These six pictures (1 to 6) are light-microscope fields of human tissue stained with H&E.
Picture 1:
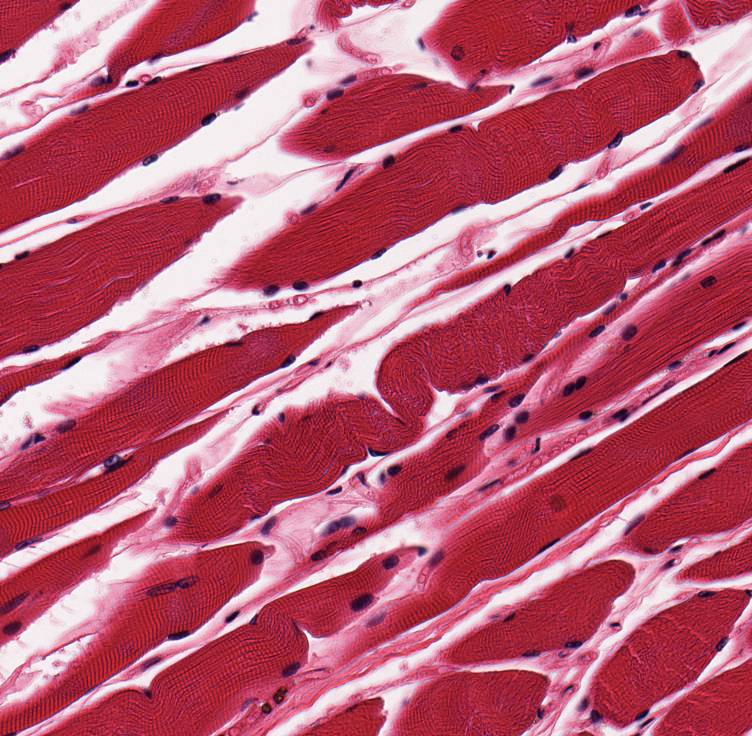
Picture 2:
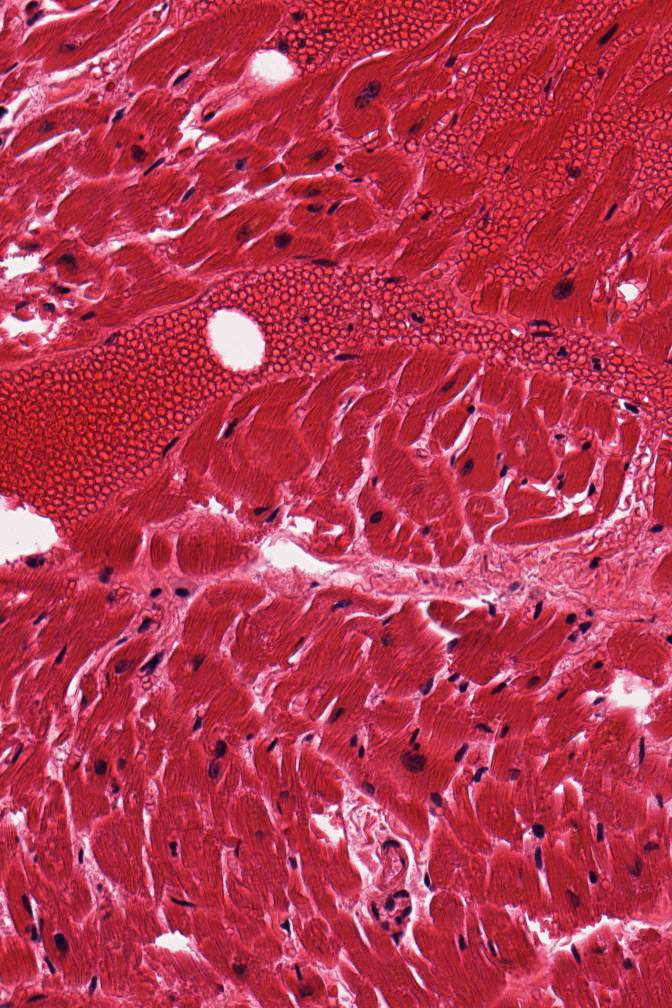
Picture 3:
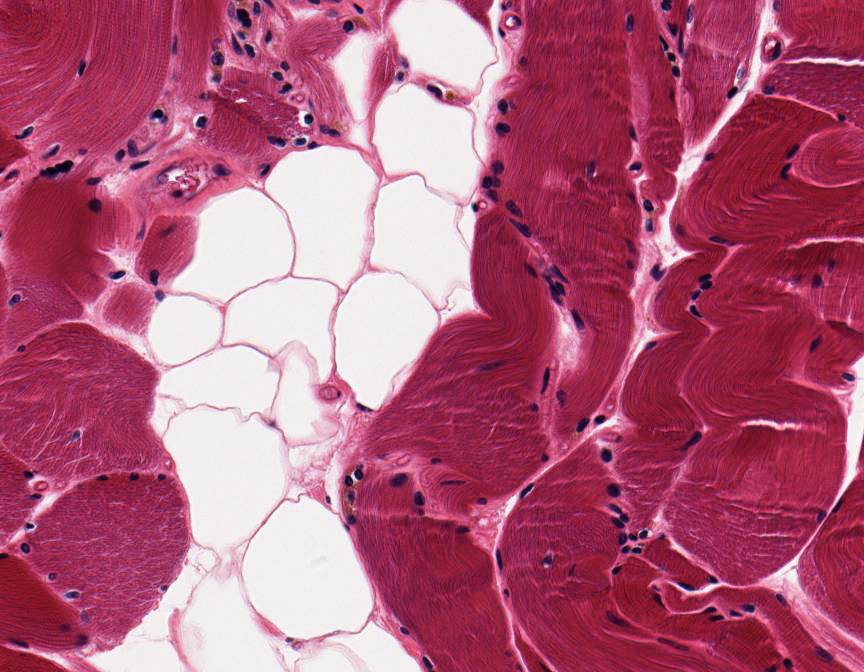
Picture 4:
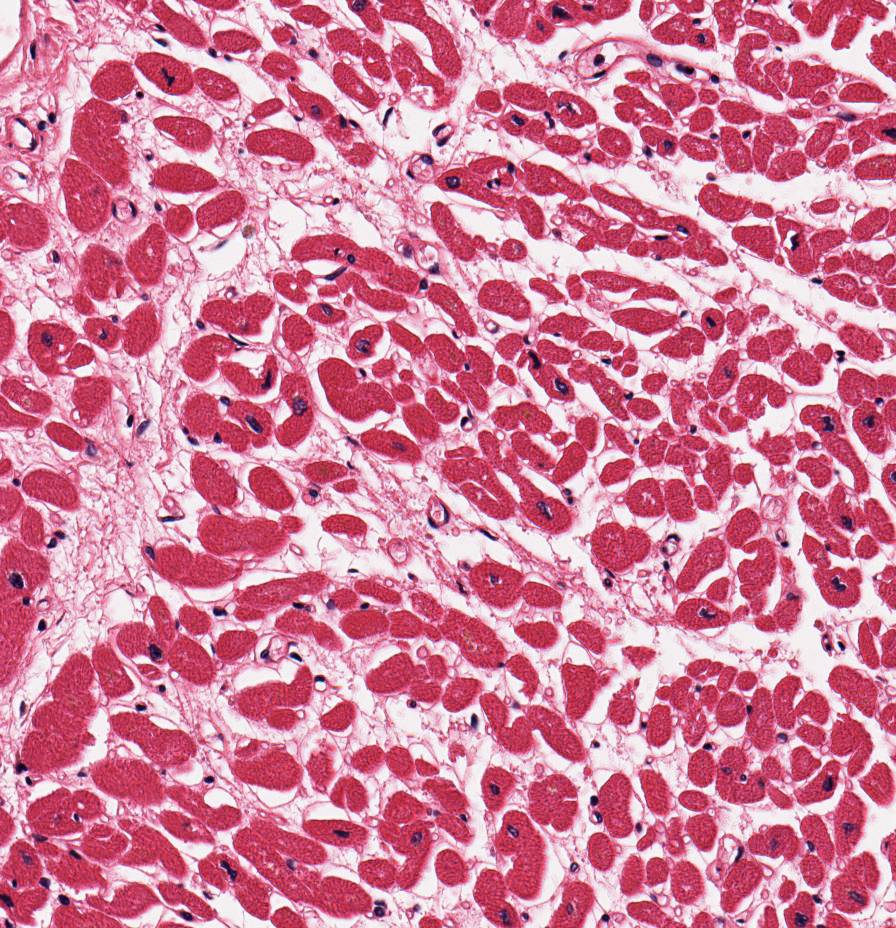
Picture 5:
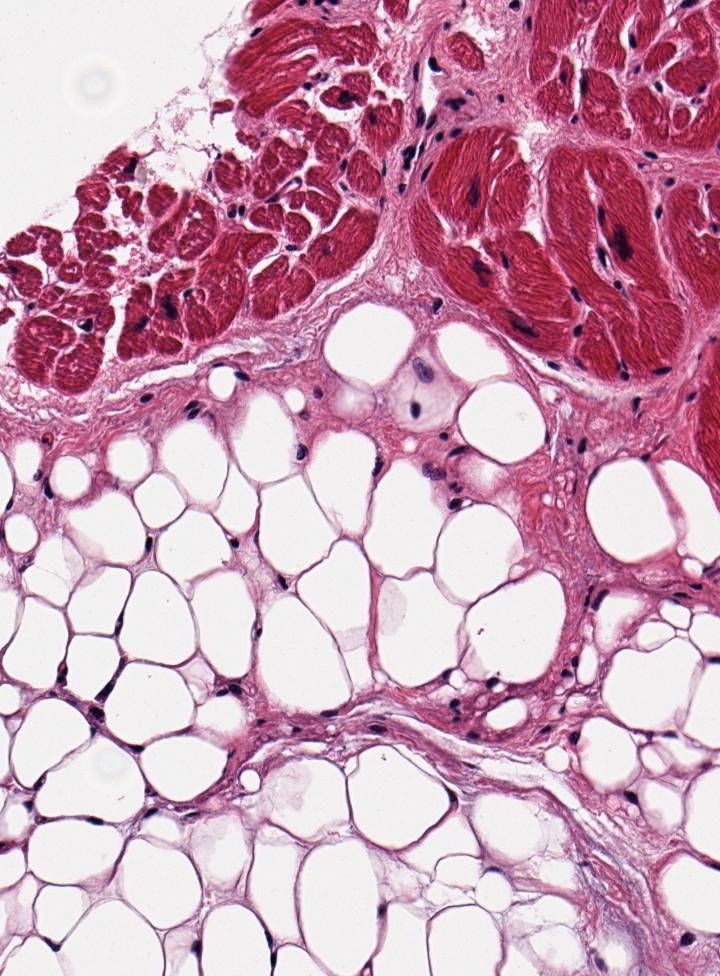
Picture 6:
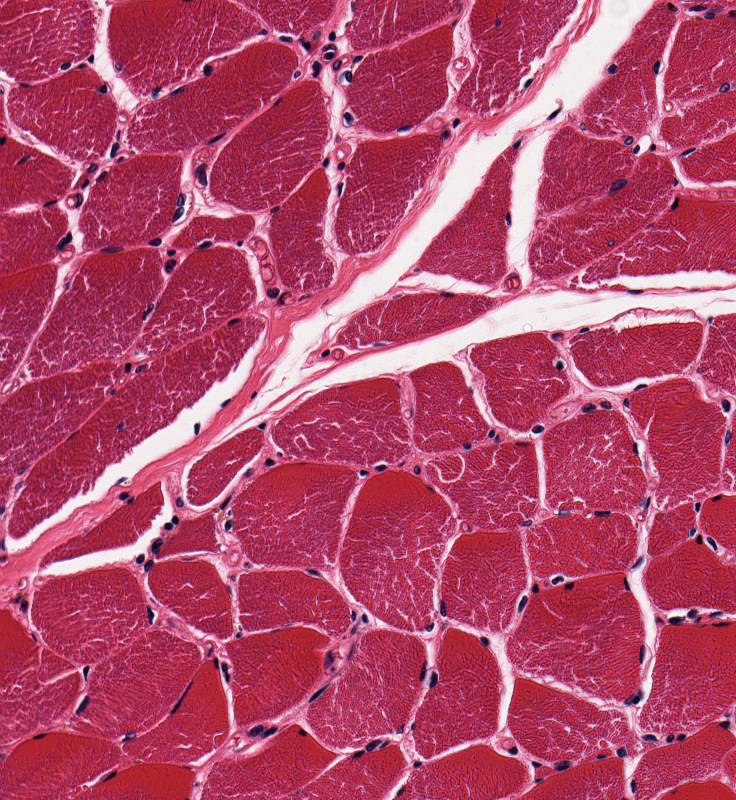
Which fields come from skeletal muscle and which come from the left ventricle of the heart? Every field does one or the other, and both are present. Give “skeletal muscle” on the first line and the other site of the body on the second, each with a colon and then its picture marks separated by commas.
skeletal muscle: 1, 3, 6
left ventricle of the heart: 2, 4, 5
